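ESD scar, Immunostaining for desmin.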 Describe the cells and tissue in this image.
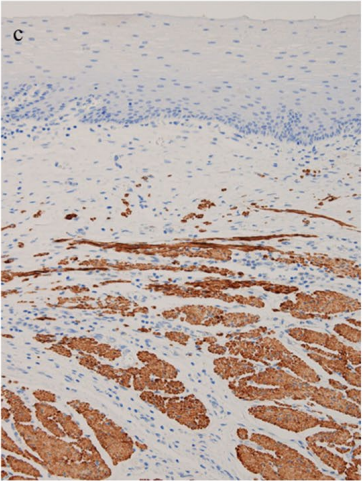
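Here the esophageal wall shows an unstained epithelium at the top, a pale fibrous layer beneath it, and large brown-staining bundles of the muscularis propria in the lower half. Thin brown strands of smooth muscle fibers run horizontally through the fibrous tissue above the muscle bundles.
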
